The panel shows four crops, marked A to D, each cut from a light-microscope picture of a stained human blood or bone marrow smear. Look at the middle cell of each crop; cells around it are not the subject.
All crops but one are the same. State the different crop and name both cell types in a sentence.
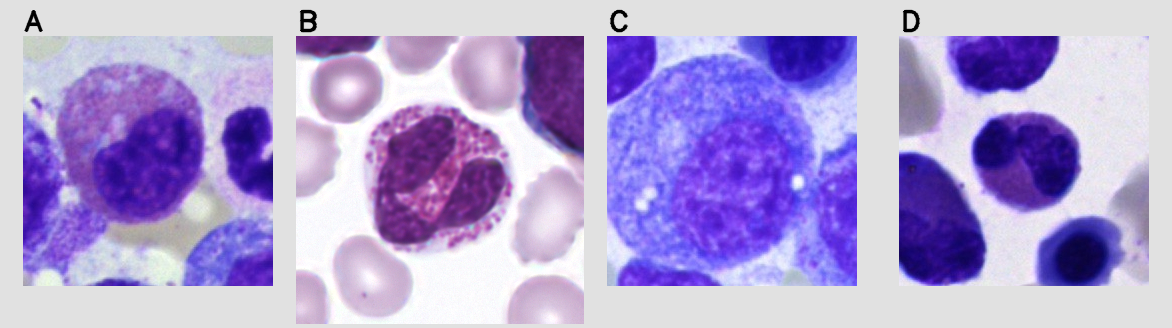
Differing from the rest, crop C shows a promyelocyte; the others all show eosinophils.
